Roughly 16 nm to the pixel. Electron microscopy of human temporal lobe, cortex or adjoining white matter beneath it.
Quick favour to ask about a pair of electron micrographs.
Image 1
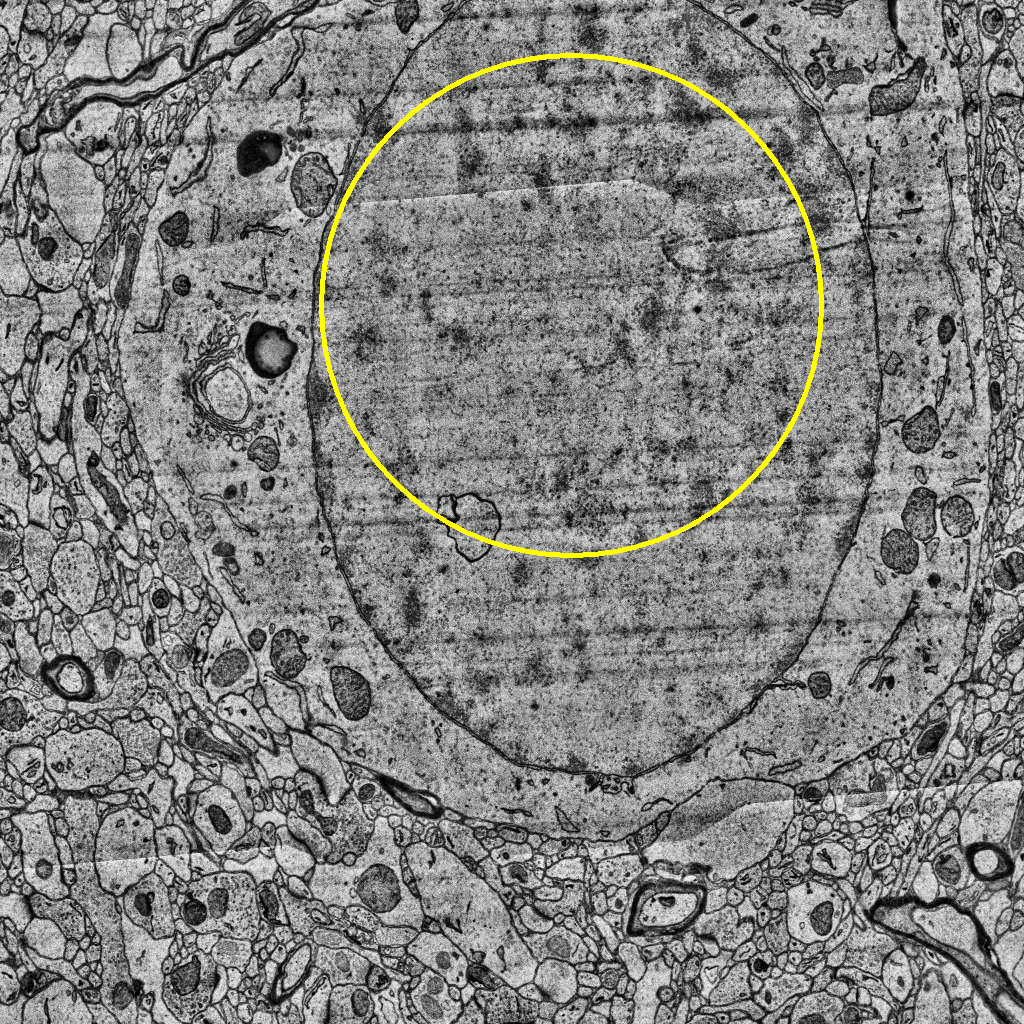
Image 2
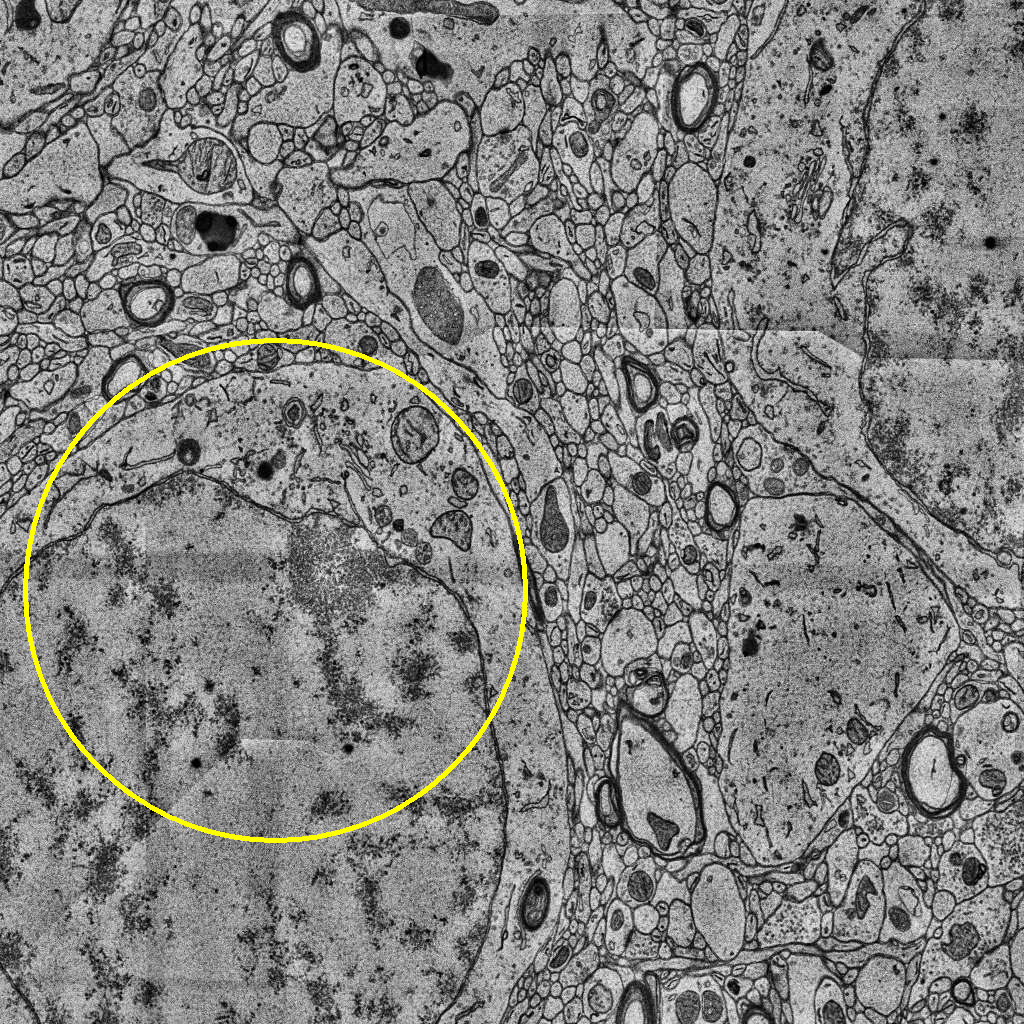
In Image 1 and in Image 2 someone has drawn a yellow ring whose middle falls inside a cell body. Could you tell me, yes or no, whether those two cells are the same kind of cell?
yes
